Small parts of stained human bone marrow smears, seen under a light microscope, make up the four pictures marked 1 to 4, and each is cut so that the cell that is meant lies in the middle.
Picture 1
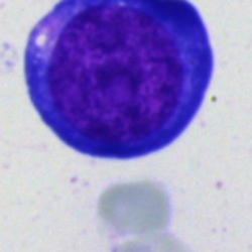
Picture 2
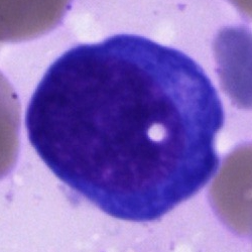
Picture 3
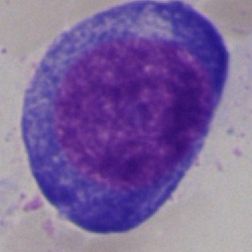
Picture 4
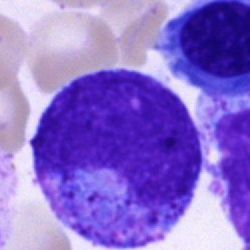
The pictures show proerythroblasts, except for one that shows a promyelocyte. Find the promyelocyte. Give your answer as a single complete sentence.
Picture 4 shows the promyelocyte.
